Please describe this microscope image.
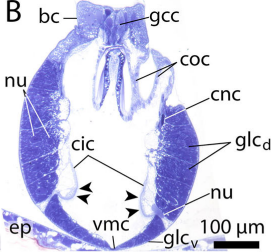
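This much larger cross section shows a deep U-shaped glandular organ whose walls are formed by tall, elongated gland cells stained dark blue-violet. On each side dorsal and ventral gland cells are separated by a pale band of ciliated cells bearing cilia that project into the wide central lumen. The gland cells contain several pale nuclei lying within their dense cytoplasm. The two sides meet ventrally in a thin floor of ventromedian cells resting on the epidermis. At the top, thin folded bands of corridor cells extend upwards towards a group of cells bearing large cilia.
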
